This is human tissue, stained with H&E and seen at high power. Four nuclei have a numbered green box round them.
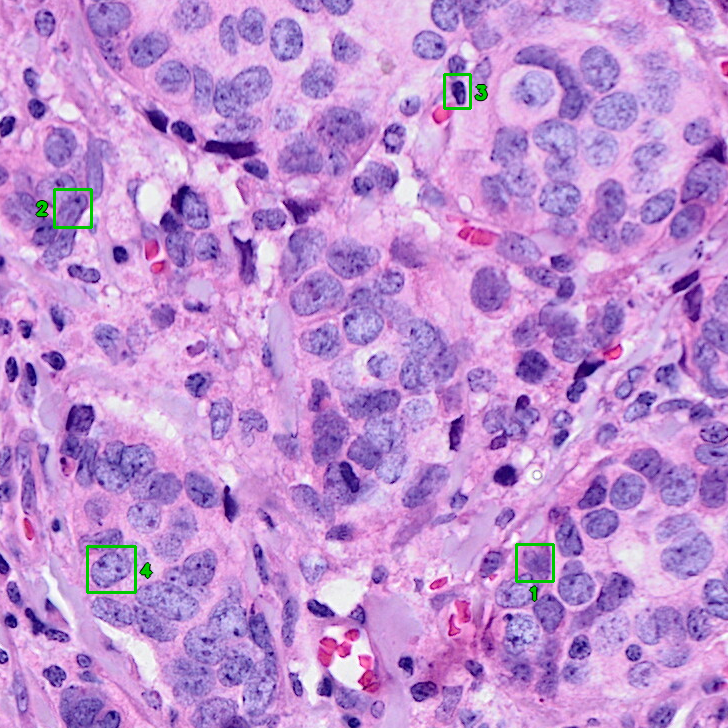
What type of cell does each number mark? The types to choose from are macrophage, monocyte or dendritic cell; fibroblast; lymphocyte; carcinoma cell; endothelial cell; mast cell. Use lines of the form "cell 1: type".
cell 1: carcinoma cell
cell 2: carcinoma cell
cell 3: lymphocyte
cell 4: carcinoma cell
